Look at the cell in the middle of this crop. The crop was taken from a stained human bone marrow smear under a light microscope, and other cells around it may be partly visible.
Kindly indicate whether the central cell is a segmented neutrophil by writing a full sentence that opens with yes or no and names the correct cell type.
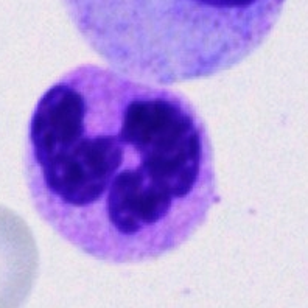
Yes, the cell at the midpoint of the crop is a segmented neutrophil.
